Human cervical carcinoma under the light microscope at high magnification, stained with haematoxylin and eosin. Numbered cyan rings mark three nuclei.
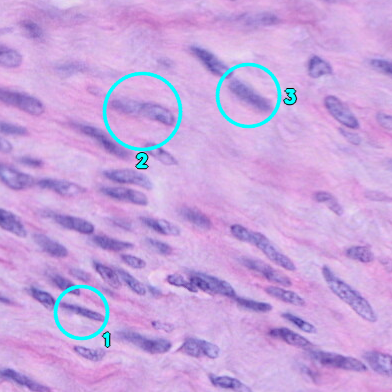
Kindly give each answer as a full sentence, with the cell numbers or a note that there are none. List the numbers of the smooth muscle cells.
Cells 1 and 2 are smooth muscle cells by cell type.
